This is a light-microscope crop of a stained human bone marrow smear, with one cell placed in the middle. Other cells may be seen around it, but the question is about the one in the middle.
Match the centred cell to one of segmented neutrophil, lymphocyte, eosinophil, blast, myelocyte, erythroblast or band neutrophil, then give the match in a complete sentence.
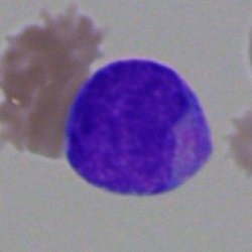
At the middle of the frame sits a blast.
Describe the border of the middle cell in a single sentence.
No surface projections are present; the cell outline is smooth.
